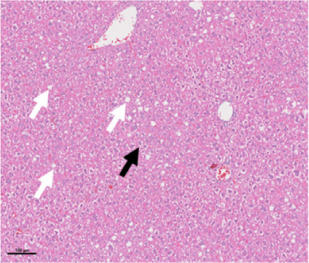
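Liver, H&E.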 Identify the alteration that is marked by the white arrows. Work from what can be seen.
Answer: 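Vacuolization. The white arrows point to clear round spaces among the hepatocytes. Many small unstained holes are scattered through the pink liver cords.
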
